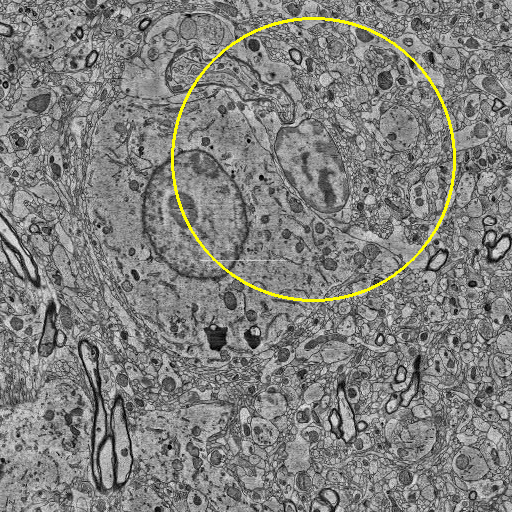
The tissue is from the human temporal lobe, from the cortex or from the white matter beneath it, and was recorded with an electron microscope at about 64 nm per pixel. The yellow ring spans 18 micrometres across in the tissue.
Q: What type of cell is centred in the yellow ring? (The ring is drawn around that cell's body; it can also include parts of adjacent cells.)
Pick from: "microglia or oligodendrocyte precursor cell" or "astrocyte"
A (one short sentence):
The yellow ring is centred on a microglial cell or oligodendrocyte precursor cell.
